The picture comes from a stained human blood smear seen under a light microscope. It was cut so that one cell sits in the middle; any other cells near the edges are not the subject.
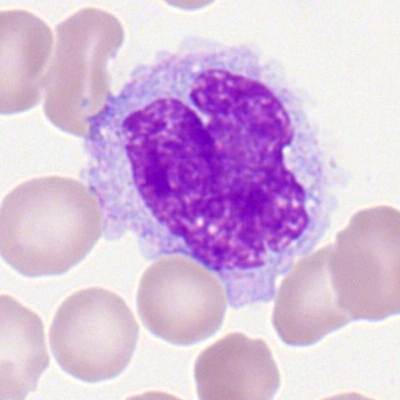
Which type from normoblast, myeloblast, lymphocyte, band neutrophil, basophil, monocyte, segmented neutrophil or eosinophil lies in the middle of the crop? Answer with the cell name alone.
monocyte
